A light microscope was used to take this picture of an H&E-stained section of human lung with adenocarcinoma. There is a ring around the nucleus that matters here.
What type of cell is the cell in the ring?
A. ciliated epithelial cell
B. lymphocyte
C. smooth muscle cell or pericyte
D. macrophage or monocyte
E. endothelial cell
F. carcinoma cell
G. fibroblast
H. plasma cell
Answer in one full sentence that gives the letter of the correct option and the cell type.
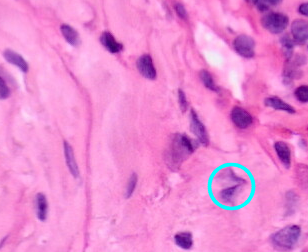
The correct choice is option G; the cell in the ring is a fibroblast.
